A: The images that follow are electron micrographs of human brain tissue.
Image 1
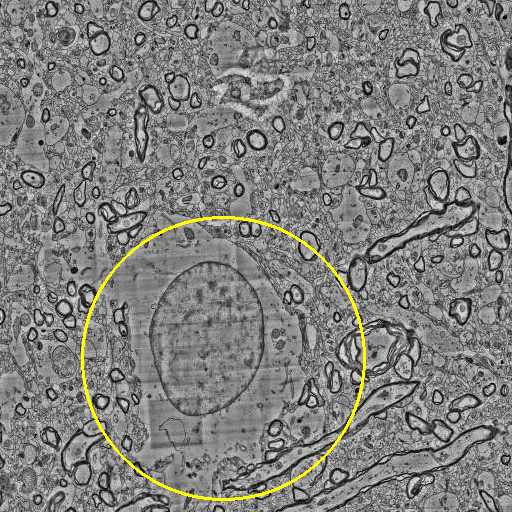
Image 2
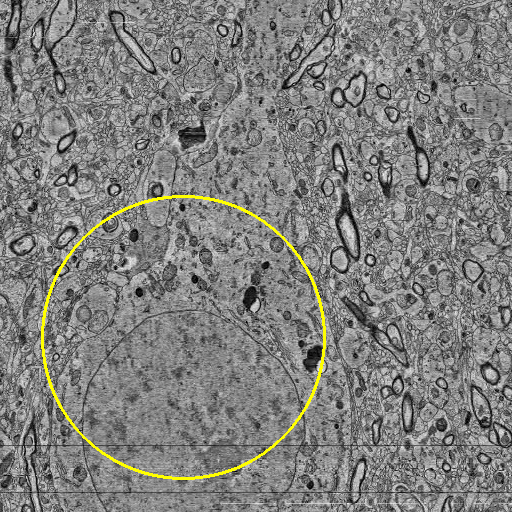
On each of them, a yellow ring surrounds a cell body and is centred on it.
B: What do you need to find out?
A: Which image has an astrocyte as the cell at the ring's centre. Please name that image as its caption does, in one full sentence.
Image 1 is the one whose ring has the sought cell at its centre.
